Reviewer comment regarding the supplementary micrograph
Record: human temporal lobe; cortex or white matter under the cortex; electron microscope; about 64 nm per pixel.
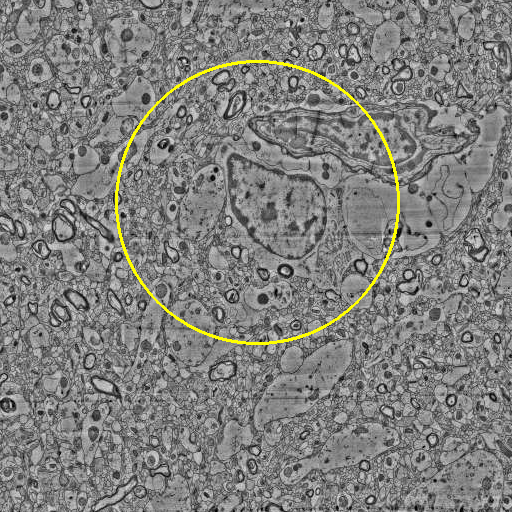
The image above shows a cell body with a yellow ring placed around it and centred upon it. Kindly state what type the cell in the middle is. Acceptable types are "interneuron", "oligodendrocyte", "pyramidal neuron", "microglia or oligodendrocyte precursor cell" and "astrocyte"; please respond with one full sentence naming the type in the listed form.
In the image above, the cell on which the yellow ring is centred is a microglial cell or oligodendrocyte precursor cell.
